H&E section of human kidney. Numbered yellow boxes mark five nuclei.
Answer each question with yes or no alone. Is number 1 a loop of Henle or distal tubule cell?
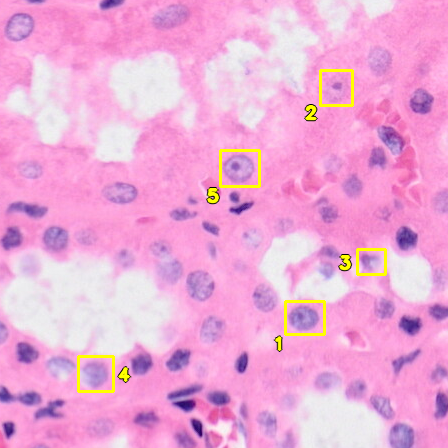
yes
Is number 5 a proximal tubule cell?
yes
